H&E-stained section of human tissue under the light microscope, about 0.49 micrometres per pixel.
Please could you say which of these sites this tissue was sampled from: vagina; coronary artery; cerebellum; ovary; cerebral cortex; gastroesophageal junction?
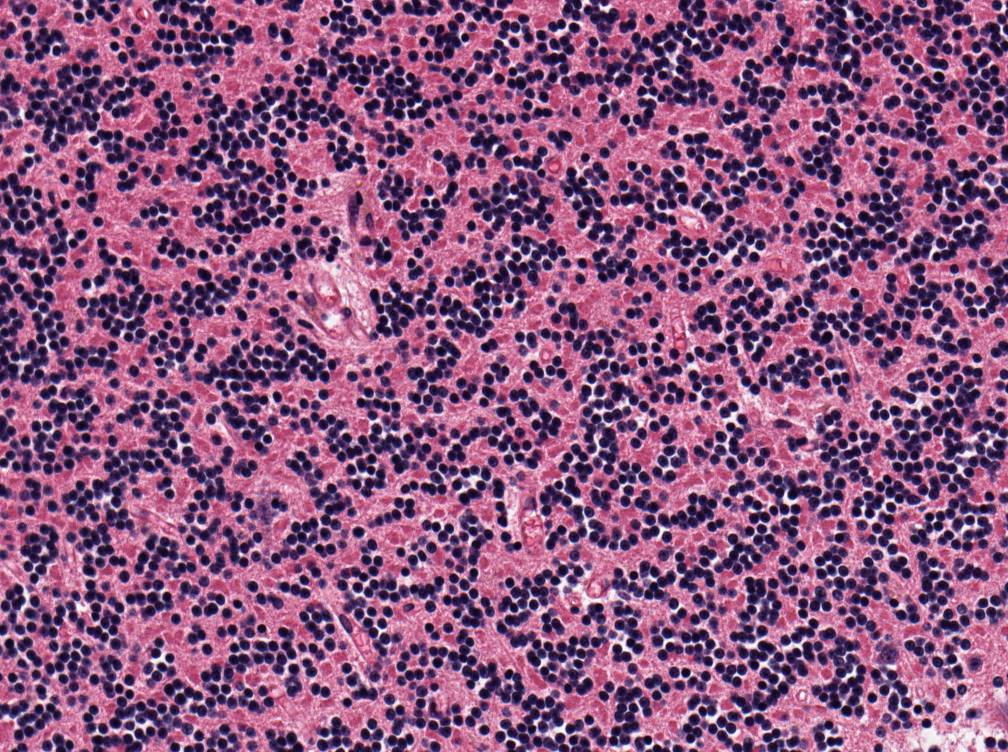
cerebellum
